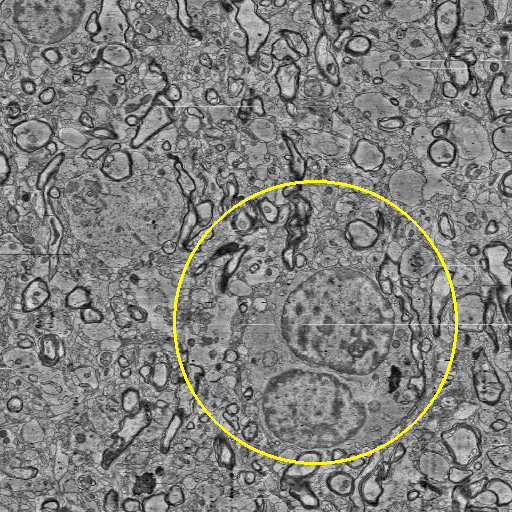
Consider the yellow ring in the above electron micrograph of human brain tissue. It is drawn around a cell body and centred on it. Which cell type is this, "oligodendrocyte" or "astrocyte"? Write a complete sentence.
The cell in question is an oligodendrocyte.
